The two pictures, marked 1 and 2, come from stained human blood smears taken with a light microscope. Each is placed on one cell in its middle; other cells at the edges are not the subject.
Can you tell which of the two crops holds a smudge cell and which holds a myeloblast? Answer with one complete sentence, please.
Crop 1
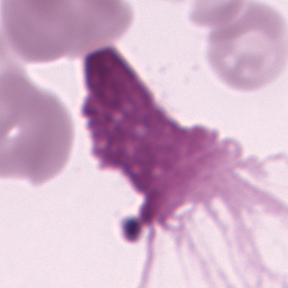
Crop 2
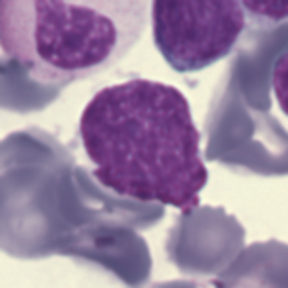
Crop 1 here is a smudge cell, and crop 2 is a myeloblast.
